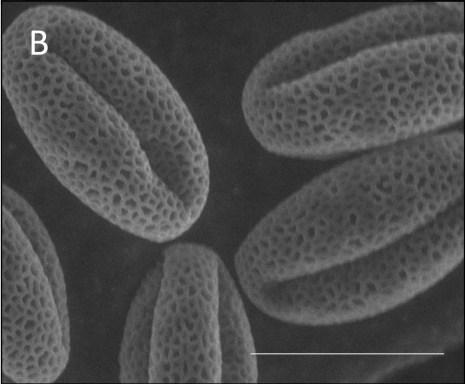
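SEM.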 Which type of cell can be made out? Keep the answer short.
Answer: Pollen.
